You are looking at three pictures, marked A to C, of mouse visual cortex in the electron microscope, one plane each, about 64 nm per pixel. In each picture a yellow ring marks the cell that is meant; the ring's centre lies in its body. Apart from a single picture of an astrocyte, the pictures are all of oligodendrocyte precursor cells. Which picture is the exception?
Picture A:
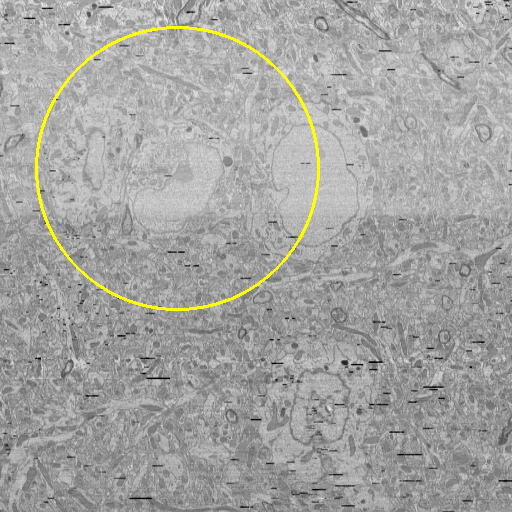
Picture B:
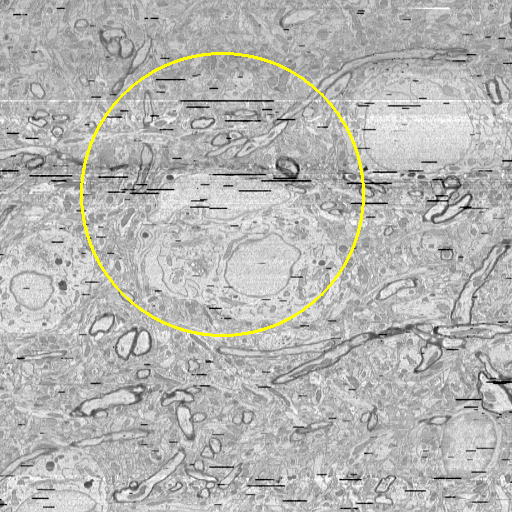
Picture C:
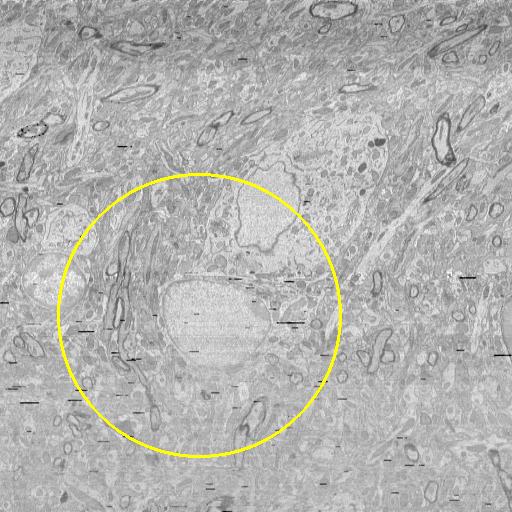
The cell in picture C is the astrocyte.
